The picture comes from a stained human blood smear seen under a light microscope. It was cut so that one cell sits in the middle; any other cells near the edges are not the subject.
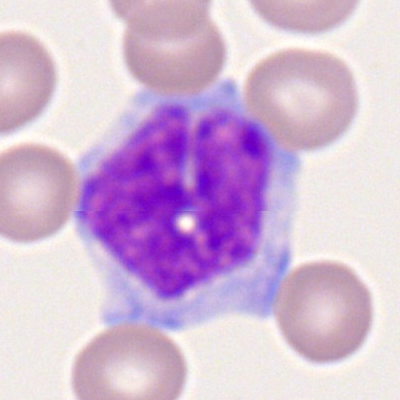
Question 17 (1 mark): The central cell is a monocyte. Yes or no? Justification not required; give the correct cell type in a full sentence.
Yes, the cell at the middle of the field is to be classed as a monocyte.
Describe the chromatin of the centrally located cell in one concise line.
You can see that its chromatin is coarsely clumped.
